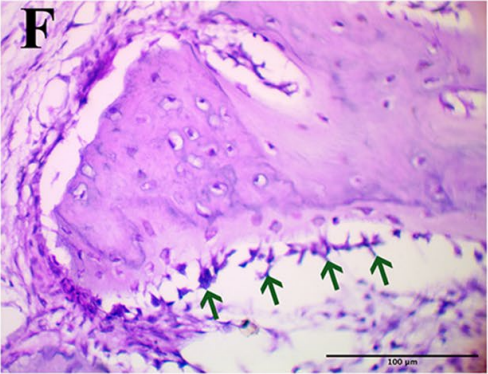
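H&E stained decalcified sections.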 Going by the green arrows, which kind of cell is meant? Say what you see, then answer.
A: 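The arrows point to a row of dark purple plump cells along the edge of a bone mass. The cells sit on the bone surface facing an open space. That points to this answer: osteoblasts.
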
